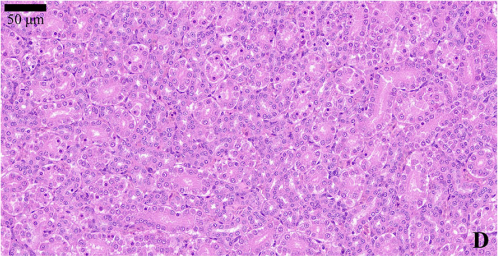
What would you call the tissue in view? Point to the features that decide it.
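Renal tubules. Many small round and elongated tubules cut in cross and longitudinal section. Tubules are lined by a single layer of cuboidal cells around small lumina.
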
